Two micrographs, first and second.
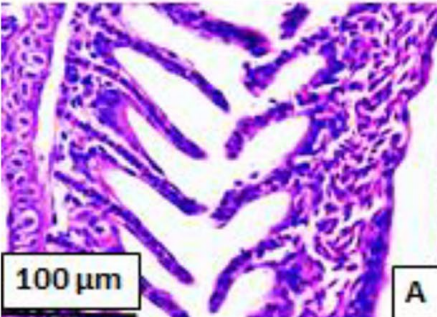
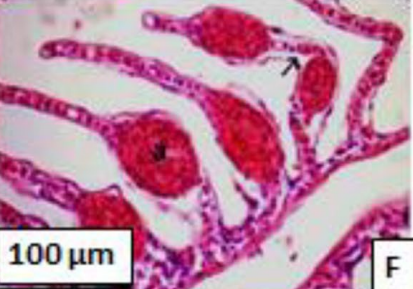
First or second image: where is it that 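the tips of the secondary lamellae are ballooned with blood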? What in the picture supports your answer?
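First image: lamellae are slender plates of even width without blood-filled swellings.
Conclusion: the second image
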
